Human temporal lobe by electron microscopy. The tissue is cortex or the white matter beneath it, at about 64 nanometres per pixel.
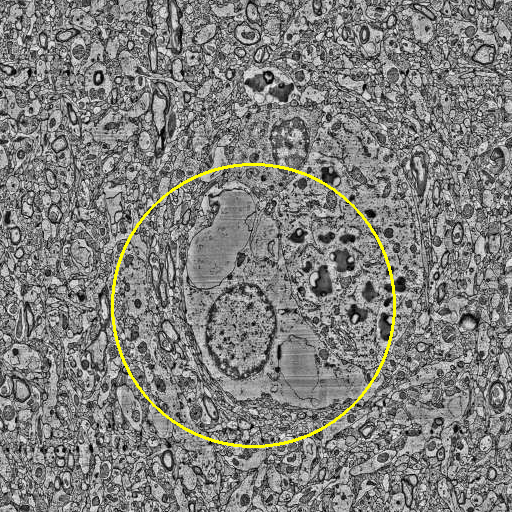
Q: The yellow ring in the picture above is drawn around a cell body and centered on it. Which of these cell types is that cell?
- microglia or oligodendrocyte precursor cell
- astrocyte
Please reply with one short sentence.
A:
The cell body at the ring's center belongs to an astrocyte.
